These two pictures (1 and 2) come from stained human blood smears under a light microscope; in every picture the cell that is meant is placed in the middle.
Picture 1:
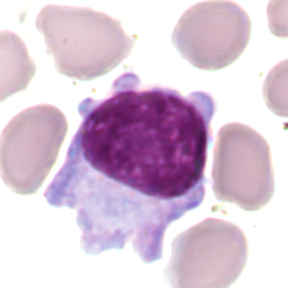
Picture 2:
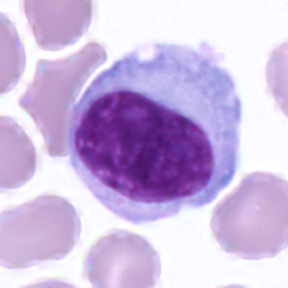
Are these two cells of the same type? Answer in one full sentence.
Yes, they are the same type: both are plasma cells.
